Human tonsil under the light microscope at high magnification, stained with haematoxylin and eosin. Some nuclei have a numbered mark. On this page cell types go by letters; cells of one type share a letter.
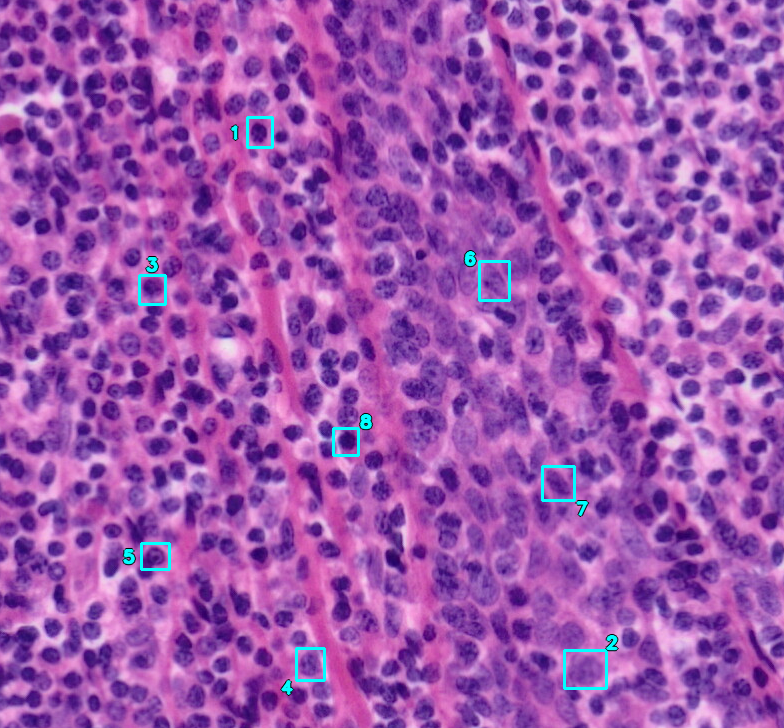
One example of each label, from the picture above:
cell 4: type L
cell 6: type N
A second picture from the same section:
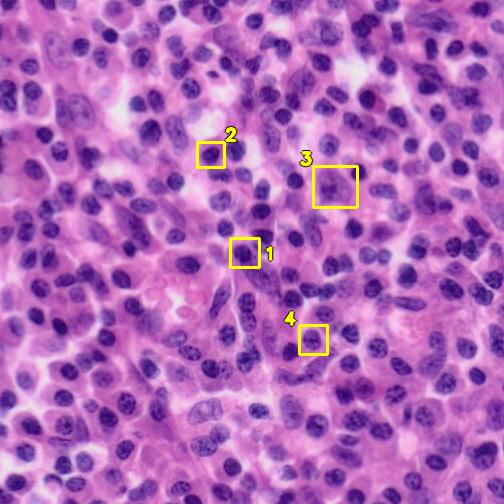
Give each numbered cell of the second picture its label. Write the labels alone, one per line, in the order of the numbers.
type L
type L
type N
type L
